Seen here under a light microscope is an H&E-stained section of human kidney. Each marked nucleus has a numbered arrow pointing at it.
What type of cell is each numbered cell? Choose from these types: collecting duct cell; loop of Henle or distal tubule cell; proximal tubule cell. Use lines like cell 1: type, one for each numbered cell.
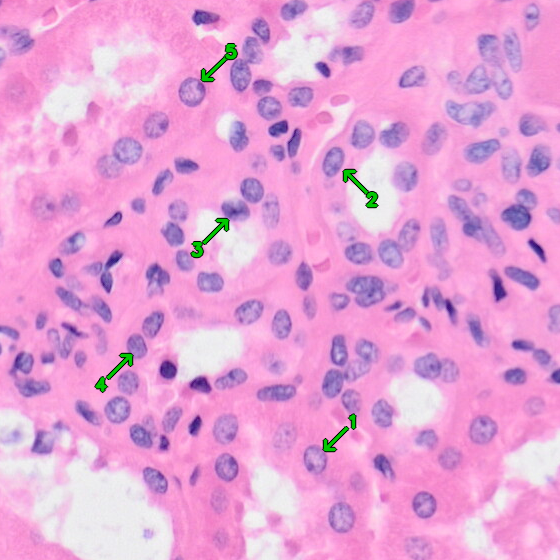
cell 1: proximal tubule cell
cell 2: collecting duct cell
cell 3: collecting duct cell
cell 4: loop of Henle or distal tubule cell
cell 5: proximal tubule cell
